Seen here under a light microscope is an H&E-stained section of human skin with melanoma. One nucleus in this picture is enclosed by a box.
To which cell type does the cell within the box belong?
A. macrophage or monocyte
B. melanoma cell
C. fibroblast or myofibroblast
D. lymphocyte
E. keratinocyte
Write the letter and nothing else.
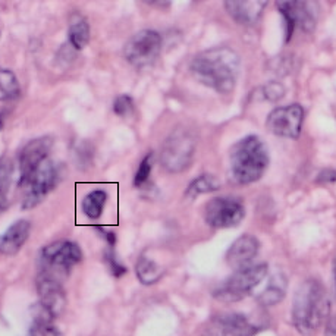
D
